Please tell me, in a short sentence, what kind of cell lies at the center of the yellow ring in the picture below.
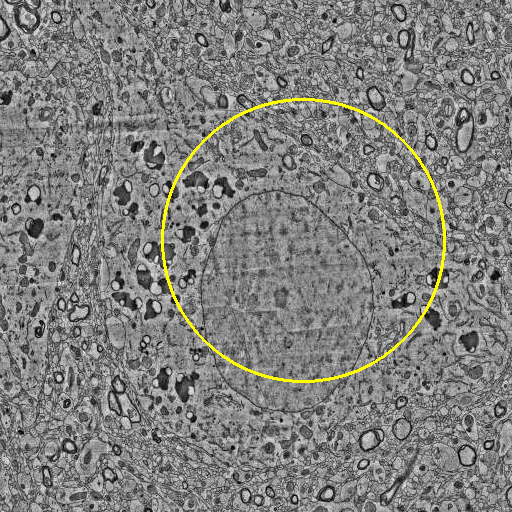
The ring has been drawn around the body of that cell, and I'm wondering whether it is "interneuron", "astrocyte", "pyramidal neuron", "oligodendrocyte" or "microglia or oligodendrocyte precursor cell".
The cell at the center of the ring is a pyramidal neuron.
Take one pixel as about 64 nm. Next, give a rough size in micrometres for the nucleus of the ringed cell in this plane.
The ringed cell's nucleus measures approximately 14 by 12 micrometres in this plane.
